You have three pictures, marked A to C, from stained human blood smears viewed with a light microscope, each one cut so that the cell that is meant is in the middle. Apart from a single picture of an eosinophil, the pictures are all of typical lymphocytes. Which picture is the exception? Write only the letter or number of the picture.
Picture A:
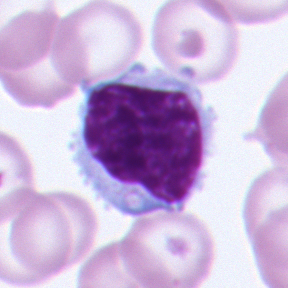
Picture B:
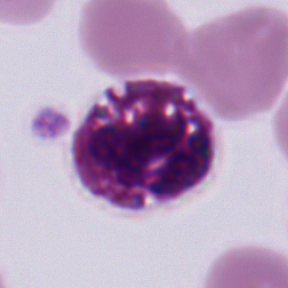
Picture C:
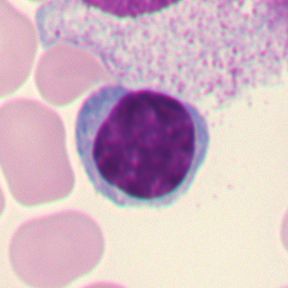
B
